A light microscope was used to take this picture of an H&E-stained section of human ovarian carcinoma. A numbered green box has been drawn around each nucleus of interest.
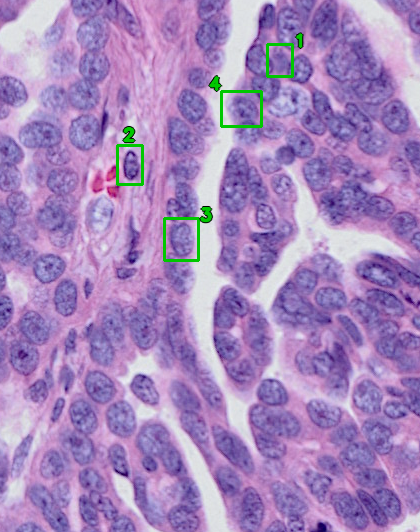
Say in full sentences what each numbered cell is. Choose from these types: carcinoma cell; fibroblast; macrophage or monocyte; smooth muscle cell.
Cell 1 is a carcinoma cell, cell 2 is a macrophage or monocyte, cell 3 is a carcinoma cell and cell 4 is a carcinoma cell.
